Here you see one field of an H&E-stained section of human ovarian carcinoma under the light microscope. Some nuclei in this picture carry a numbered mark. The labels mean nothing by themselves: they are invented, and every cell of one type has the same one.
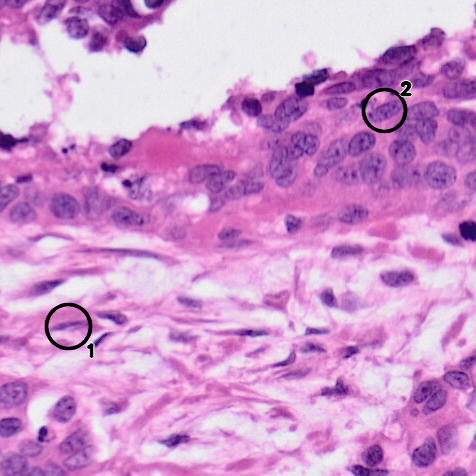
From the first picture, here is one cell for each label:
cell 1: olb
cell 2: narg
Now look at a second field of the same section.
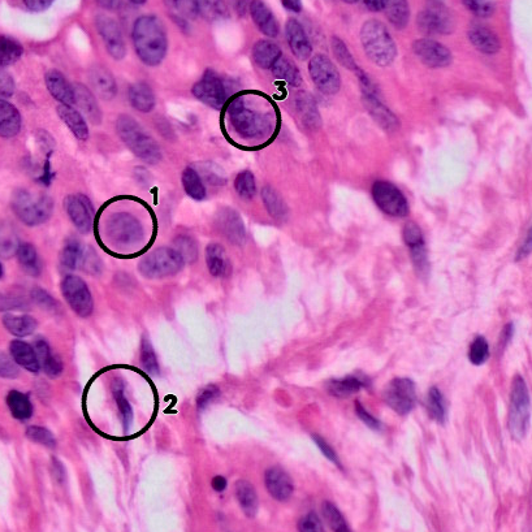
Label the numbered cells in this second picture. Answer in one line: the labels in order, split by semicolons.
narg; olb; narg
